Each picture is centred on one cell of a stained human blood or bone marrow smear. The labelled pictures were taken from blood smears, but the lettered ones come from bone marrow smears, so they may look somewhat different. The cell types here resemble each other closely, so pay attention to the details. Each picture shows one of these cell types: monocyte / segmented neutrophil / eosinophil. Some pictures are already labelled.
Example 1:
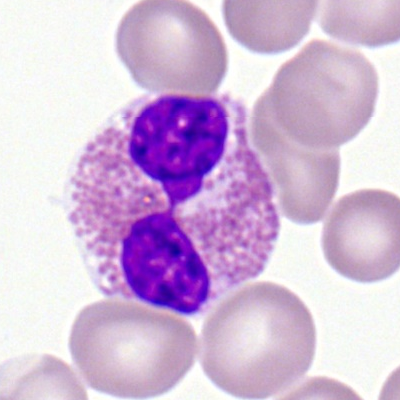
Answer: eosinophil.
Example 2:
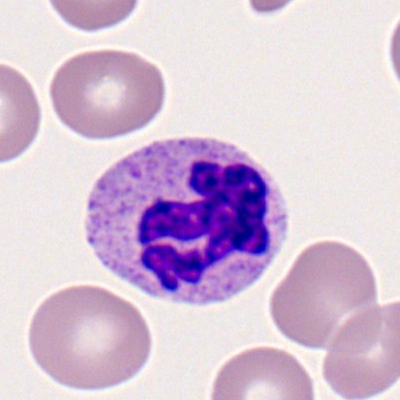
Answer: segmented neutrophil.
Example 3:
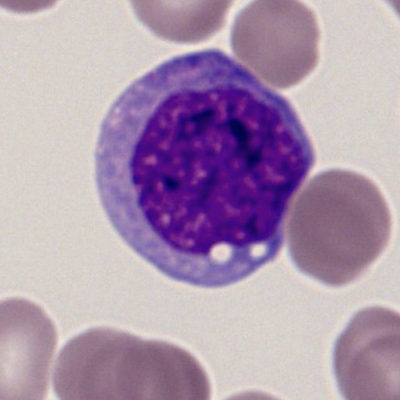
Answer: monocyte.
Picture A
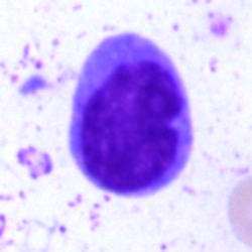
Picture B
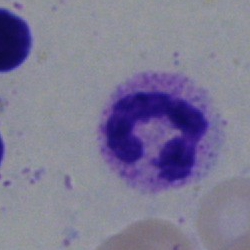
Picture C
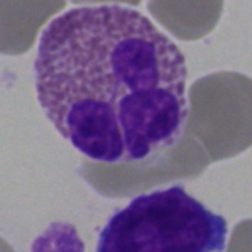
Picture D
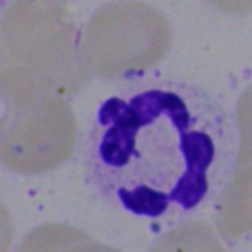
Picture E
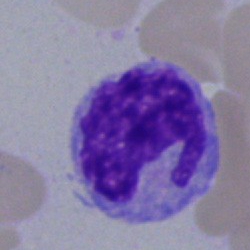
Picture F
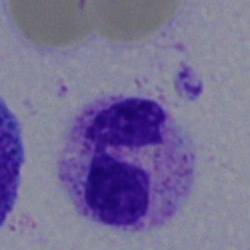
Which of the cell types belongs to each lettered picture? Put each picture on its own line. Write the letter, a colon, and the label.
A: monocyte.
B: segmented neutrophil.
C: eosinophil.
D: segmented neutrophil.
E: monocyte.
F: segmented neutrophil.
